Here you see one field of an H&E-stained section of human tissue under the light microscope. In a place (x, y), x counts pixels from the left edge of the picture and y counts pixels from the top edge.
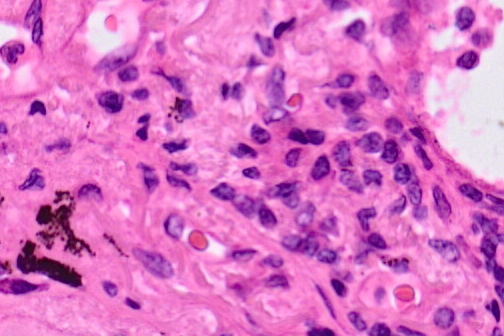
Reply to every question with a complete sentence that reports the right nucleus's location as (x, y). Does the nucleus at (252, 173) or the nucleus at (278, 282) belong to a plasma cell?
Of these two nuclei, only the one at (278, 282) belongs to a plasma cell.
